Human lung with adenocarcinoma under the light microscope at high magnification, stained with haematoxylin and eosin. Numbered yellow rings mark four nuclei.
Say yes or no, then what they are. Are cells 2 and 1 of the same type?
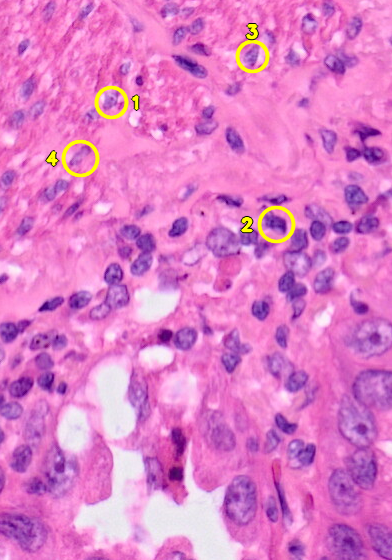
No, cell 2 here is a lymphocyte, and cell 1 here is a smooth muscle cell or pericyte.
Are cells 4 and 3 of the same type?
Yes, within the numbered set, cells 4 and 3 are both smooth muscle cells or pericytes.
